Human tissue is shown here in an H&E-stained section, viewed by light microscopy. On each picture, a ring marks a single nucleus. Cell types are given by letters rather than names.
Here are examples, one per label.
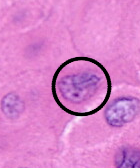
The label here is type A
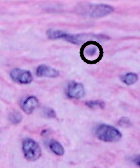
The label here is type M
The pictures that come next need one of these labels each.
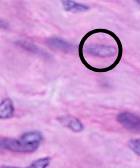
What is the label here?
type M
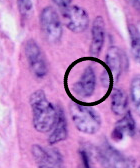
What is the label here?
type A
